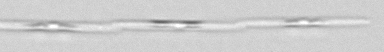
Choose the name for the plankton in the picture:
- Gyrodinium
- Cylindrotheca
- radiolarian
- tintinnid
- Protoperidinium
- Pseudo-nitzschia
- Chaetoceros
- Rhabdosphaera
Pseudo-nitzschia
